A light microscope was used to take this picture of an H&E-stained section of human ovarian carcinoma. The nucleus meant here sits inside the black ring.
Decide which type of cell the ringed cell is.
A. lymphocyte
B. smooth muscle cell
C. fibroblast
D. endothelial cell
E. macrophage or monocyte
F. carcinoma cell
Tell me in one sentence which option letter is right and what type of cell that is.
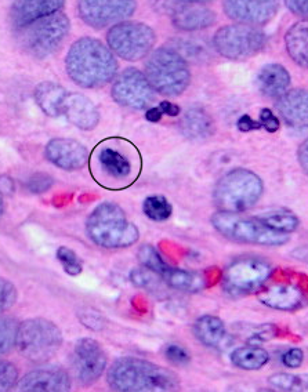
Here the ringed cell is a lymphocyte, which makes option A correct.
